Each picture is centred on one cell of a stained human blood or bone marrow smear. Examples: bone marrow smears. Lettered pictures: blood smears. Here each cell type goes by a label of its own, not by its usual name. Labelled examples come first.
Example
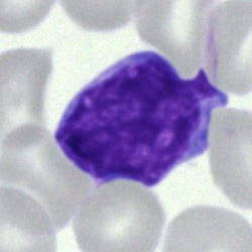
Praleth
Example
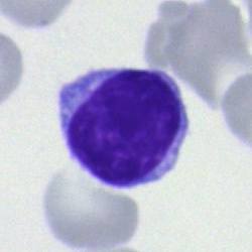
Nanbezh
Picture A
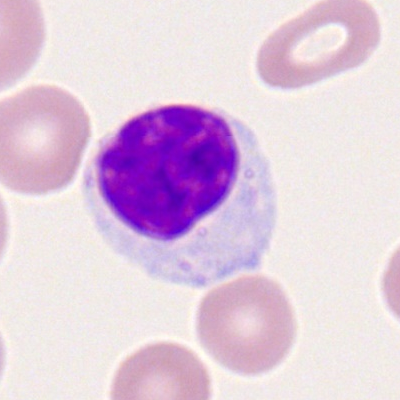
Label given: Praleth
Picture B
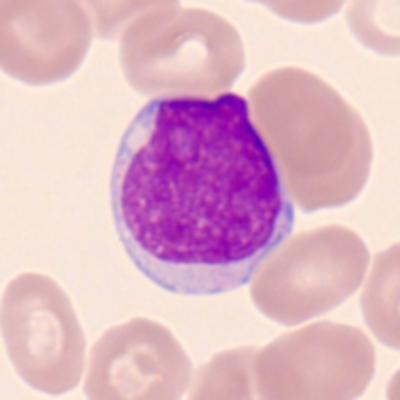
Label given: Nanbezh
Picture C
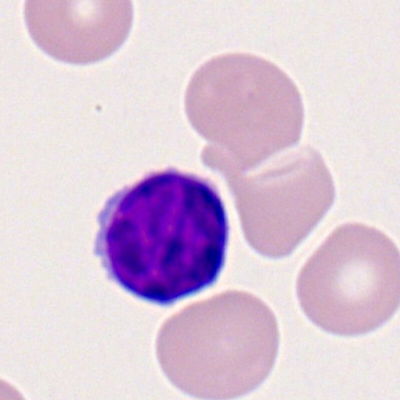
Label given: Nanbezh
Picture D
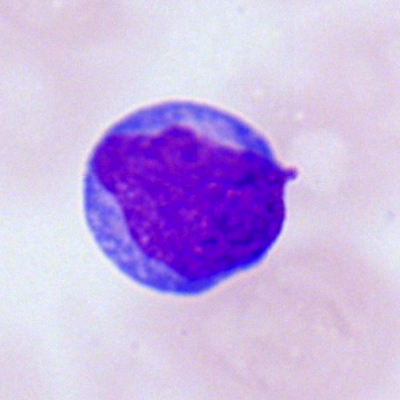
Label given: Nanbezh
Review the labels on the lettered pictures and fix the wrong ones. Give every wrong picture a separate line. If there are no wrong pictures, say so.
A: change Praleth to Nanbezh
D: change Nanbezh to Praleth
